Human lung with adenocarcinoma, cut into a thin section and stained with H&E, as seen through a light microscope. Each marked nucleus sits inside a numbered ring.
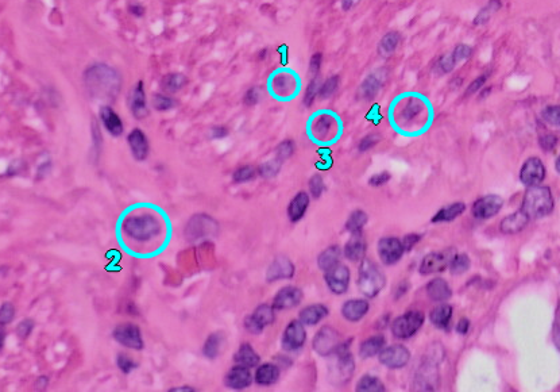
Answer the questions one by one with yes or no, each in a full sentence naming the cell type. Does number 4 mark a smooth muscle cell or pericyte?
Yes, and to answer plainly, cell 4 is a smooth muscle cell or pericyte.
